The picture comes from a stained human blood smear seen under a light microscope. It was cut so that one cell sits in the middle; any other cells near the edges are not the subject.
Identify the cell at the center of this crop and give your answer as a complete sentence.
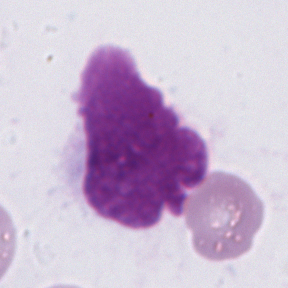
The central cell shown in this smear crop is a smudge cell.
